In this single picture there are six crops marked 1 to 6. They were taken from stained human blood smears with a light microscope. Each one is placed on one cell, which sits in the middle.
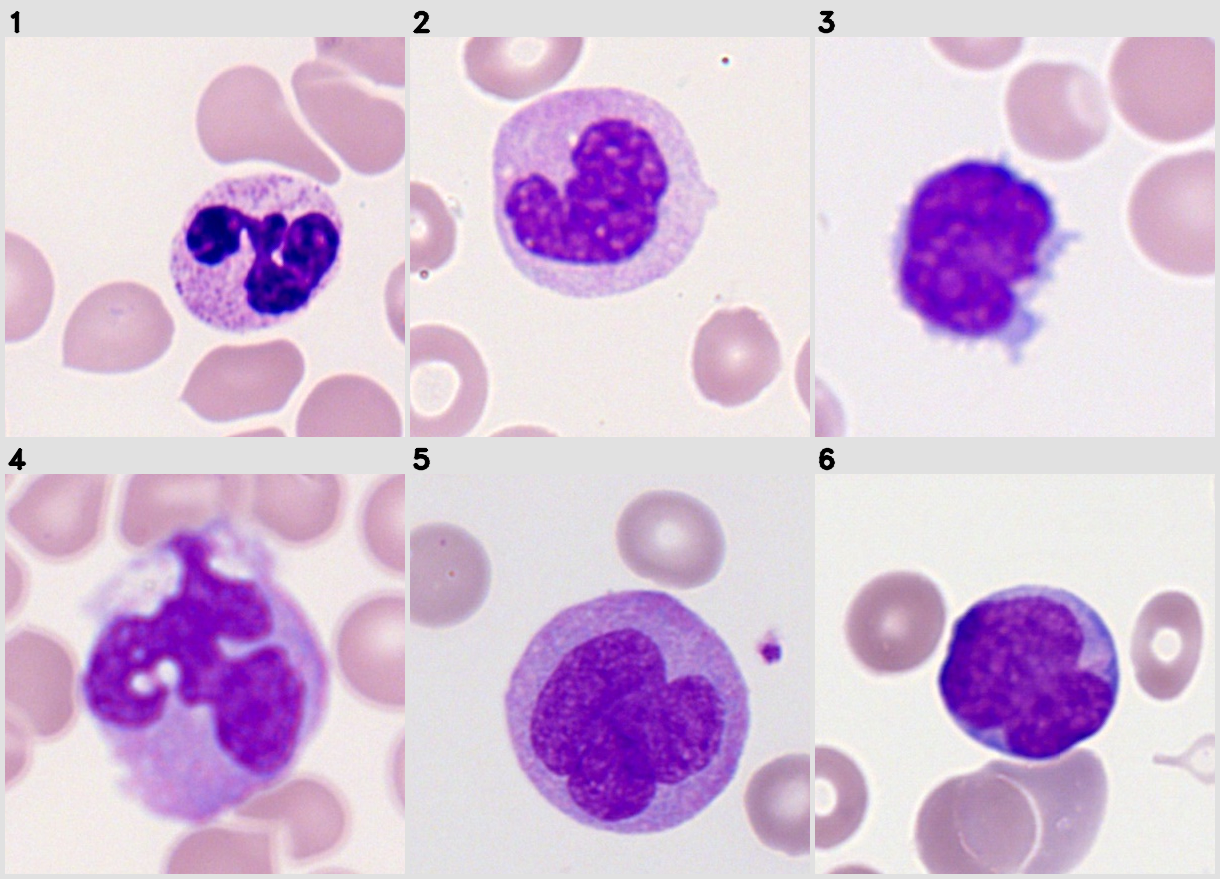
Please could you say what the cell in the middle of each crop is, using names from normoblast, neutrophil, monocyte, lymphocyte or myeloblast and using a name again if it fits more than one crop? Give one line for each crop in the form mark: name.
1: neutrophil
2: monocyte
3: lymphocyte
4: monocyte
5: myeloblast
6: myeloblast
